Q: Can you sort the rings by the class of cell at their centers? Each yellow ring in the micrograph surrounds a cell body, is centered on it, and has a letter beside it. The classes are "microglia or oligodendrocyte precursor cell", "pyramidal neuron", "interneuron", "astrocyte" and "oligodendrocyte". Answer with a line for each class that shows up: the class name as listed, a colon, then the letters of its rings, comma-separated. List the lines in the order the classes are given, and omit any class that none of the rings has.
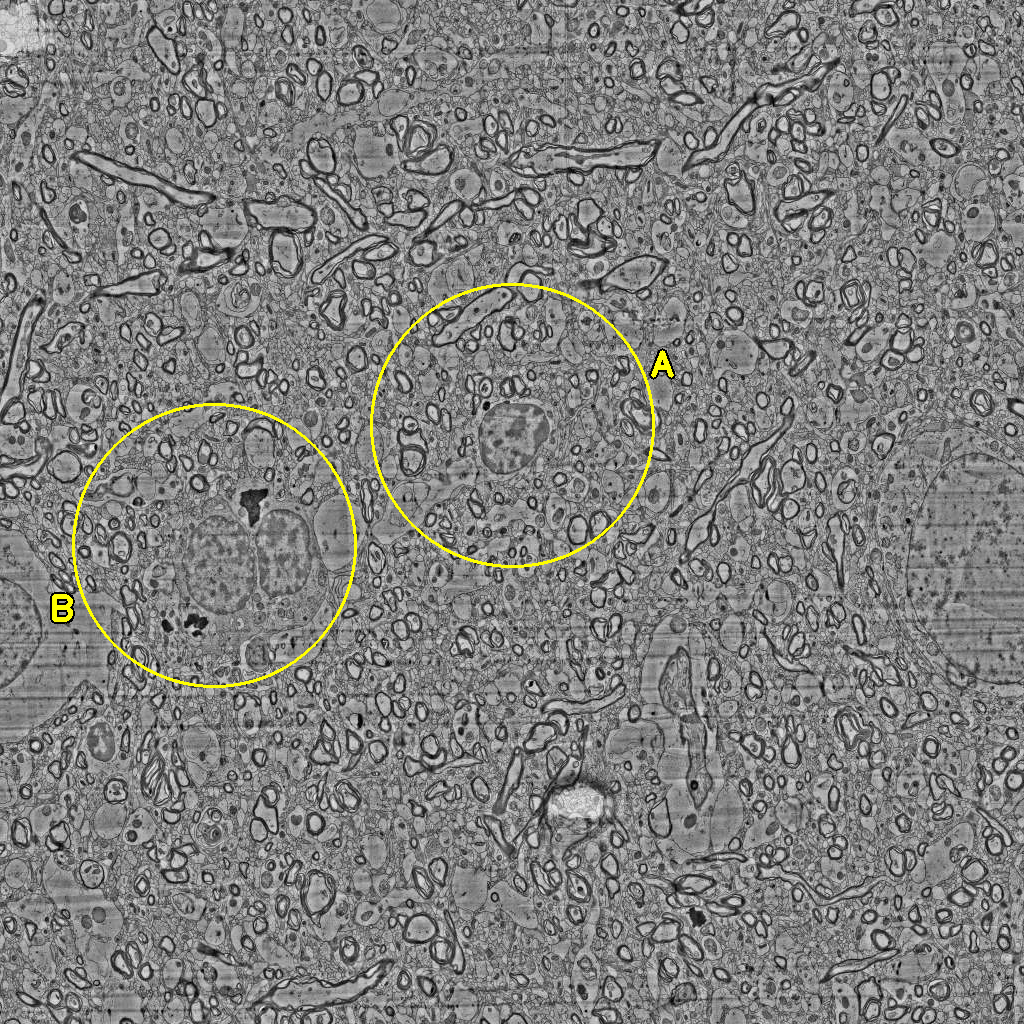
microglia or oligodendrocyte precursor cell: A
oligodendrocyte: B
